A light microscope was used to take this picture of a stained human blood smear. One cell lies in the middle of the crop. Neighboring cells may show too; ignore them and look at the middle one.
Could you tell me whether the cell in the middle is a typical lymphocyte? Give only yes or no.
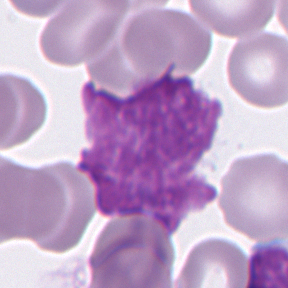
no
